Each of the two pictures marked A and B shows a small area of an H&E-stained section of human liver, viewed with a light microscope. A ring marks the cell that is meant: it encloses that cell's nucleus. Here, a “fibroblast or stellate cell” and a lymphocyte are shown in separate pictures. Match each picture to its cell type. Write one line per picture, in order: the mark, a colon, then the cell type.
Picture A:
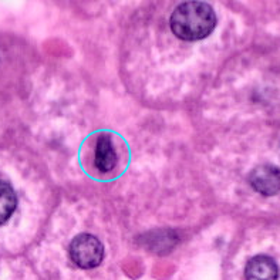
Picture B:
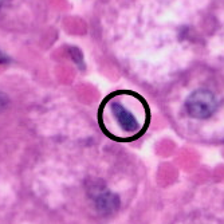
A: fibroblast or stellate cell
B: lymphocyte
